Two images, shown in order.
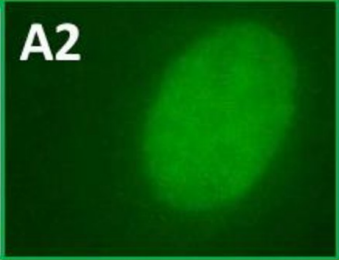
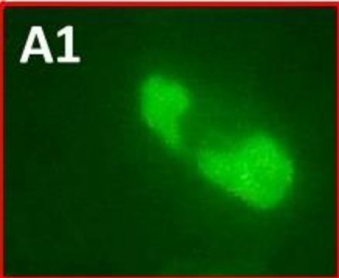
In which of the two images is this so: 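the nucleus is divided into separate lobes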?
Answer: the second image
